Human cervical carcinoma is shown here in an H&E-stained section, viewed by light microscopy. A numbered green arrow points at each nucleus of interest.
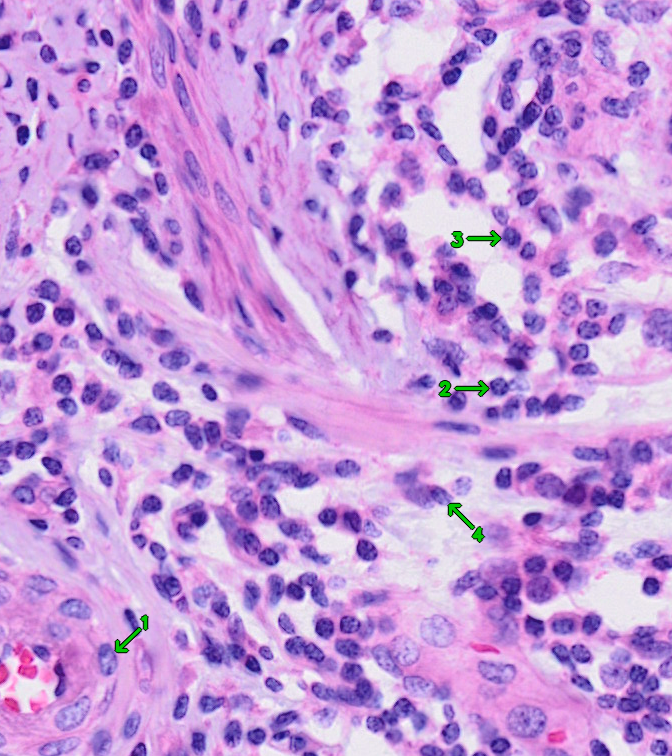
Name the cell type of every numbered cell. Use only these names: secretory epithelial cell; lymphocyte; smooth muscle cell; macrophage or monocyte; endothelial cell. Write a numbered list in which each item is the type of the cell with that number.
1. smooth muscle cell
2. lymphocyte
3. lymphocyte
4. lymphocyte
